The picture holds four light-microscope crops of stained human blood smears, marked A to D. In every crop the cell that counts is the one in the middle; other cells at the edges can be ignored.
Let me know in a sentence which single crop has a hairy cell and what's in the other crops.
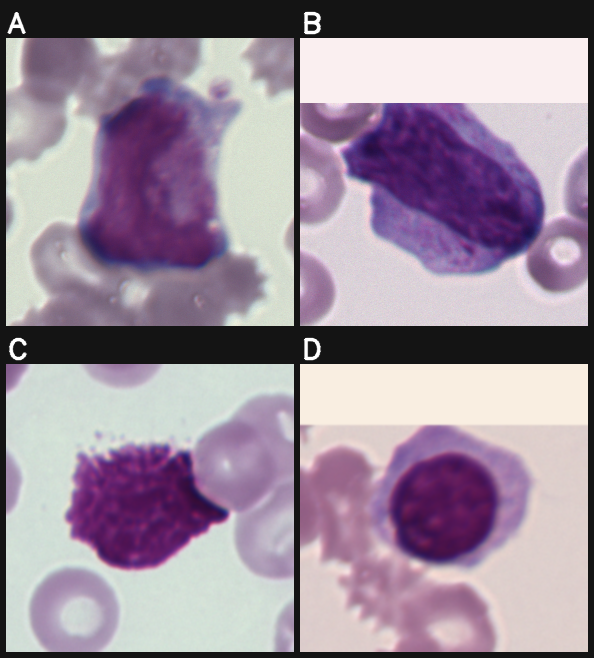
In crop D the cell shown is a hairy cell, and crop A is a myeloblast, crop B is an atypical promyelocyte and crop C is a smudge cell.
